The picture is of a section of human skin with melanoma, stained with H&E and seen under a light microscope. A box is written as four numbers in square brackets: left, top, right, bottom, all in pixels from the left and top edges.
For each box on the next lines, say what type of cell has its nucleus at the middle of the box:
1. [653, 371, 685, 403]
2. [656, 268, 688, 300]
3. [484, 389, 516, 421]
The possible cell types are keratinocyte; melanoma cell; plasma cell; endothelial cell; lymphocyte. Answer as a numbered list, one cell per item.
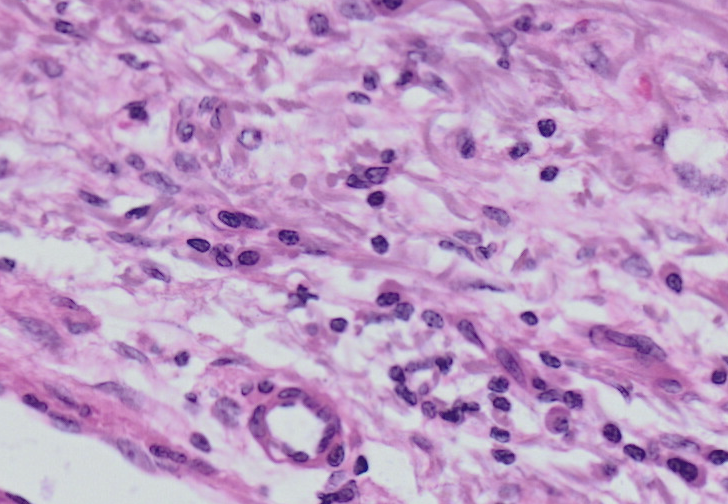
1. endothelial cell
2. plasma cell
3. lymphocyte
